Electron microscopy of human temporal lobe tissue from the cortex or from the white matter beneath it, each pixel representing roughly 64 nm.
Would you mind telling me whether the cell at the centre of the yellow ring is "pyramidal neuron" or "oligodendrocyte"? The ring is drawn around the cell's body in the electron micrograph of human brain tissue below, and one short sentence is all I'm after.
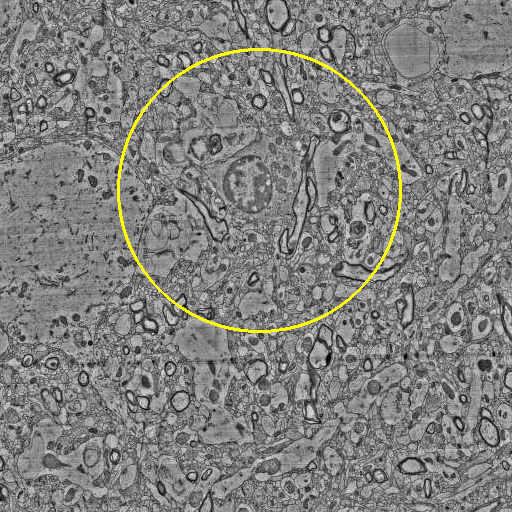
In the centre of the ring lies an oligodendrocyte.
